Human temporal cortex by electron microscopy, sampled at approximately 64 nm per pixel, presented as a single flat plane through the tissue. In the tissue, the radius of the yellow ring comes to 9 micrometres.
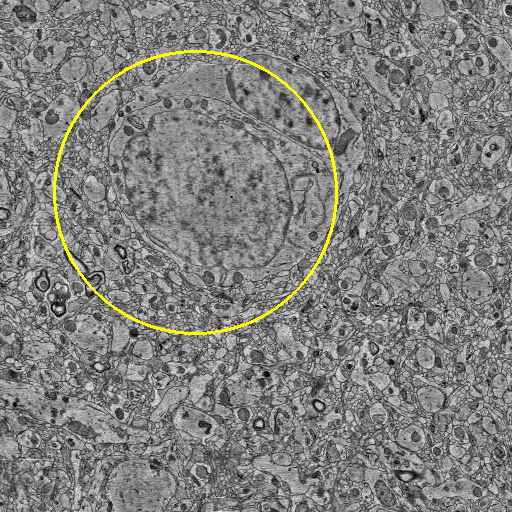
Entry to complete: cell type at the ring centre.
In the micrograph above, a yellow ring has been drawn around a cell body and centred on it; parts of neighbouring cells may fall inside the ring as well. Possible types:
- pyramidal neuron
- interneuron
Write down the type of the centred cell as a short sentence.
The ring is centred on an interneuron.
